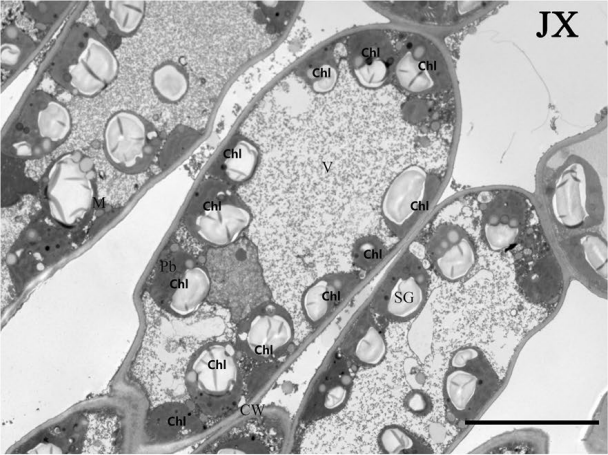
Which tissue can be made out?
Leaf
